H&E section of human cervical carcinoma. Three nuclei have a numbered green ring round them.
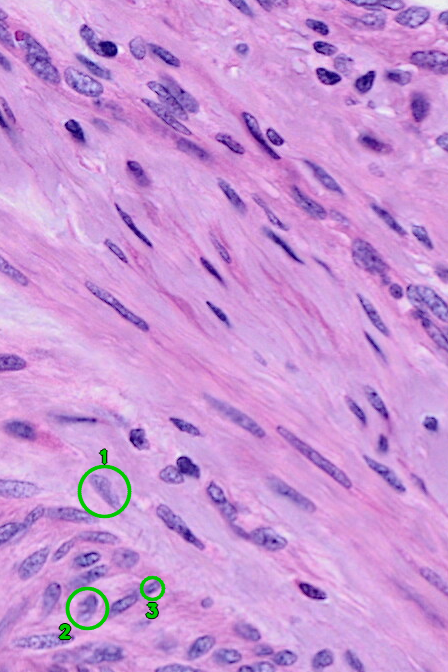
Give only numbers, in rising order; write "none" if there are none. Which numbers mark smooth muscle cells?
2, 3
